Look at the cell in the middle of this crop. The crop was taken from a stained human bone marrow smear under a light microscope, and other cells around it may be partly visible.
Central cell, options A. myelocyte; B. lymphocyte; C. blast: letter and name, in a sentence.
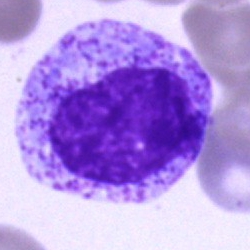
The cell centered in the crop is a myelocyte, making option A the correct pick.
